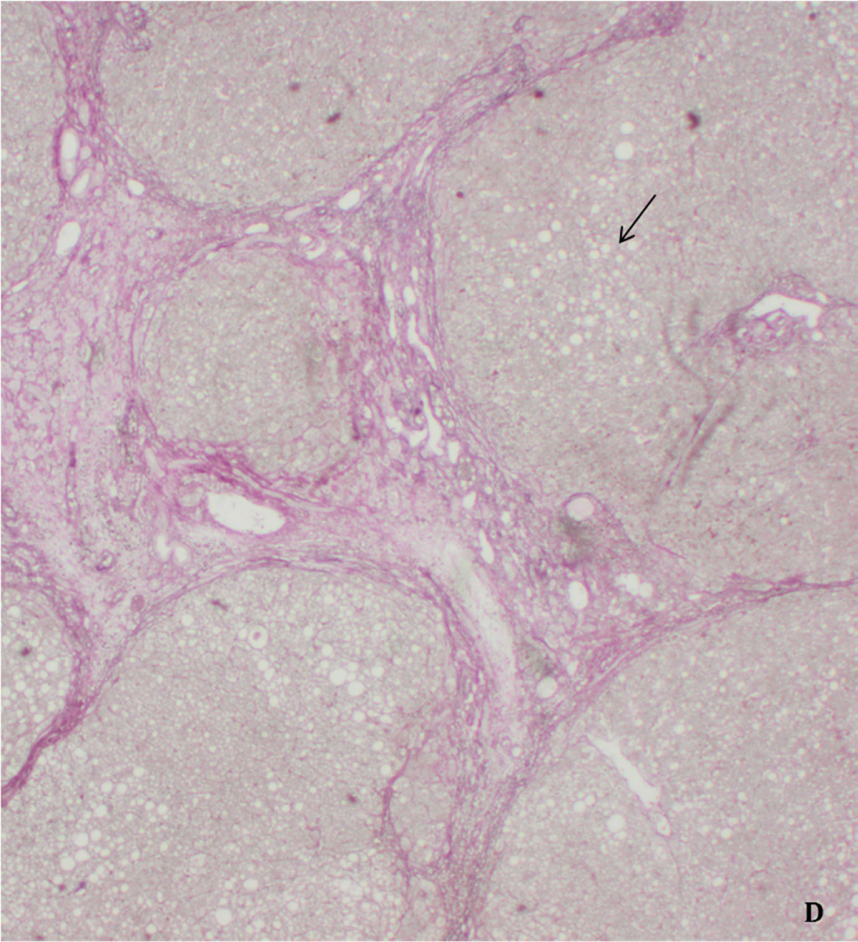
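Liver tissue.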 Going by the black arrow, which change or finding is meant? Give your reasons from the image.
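Many round clear vacuoles of varying size within the nodules. The arrow points to an area rich in these vacuoles. So: steatosis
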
